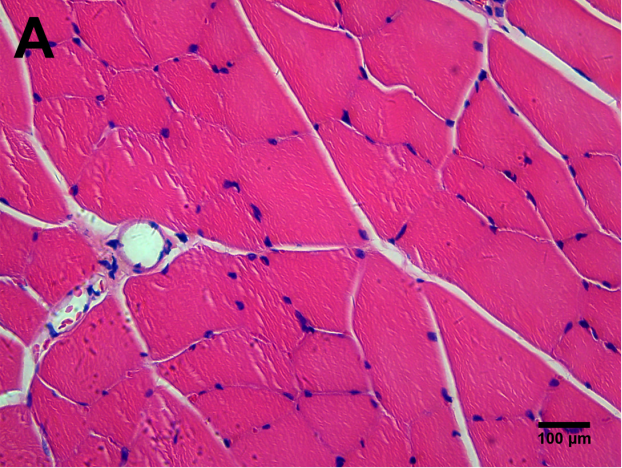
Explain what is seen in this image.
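This is skeletal muscle cut in cross-section, showing large polygonal muscle fibers packed closely together. The fibers stain an even deep pink throughout their cytoplasm. Each fiber carries small, flattened, dark purple nuclei pressed against its edge beneath the membrane. Thin pale strands of connective tissue separate the fibers and larger septa divide them into bundles. A small blood vessel sits within one of the connective tissue septa.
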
